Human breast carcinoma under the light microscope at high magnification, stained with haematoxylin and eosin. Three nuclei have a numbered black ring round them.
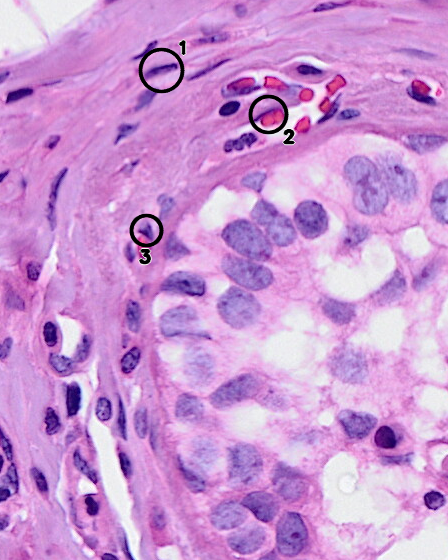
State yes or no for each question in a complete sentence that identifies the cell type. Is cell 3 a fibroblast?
No, number 3 marks an endothelial cell rather than a fibroblast.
